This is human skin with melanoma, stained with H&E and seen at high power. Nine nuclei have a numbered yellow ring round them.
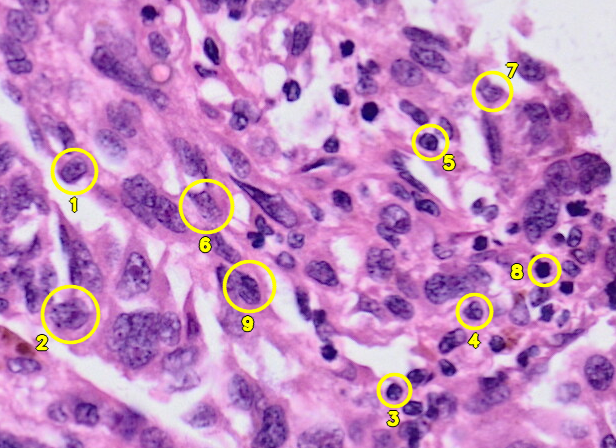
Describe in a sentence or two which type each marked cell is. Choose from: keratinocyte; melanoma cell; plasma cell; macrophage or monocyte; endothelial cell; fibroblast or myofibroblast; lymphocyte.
Cell 1 is a melanoma cell, cell 2 is a melanoma cell, cell 3 is a lymphocyte, cell 4 is a lymphocyte, cell 5 is a lymphocyte, cell 6 is a melanoma cell, cell 7 is a melanoma cell, cell 8 is a lymphocyte and cell 9 is a melanoma cell.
